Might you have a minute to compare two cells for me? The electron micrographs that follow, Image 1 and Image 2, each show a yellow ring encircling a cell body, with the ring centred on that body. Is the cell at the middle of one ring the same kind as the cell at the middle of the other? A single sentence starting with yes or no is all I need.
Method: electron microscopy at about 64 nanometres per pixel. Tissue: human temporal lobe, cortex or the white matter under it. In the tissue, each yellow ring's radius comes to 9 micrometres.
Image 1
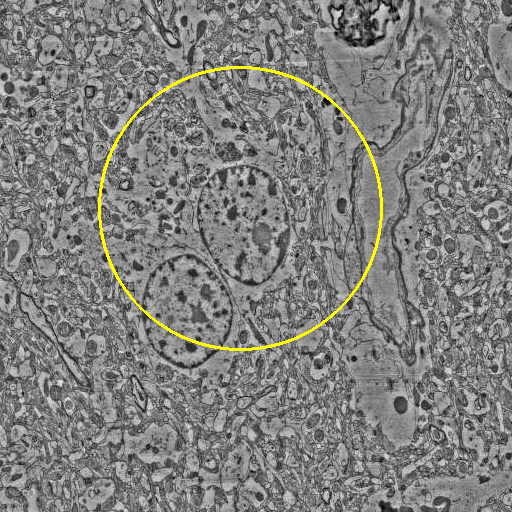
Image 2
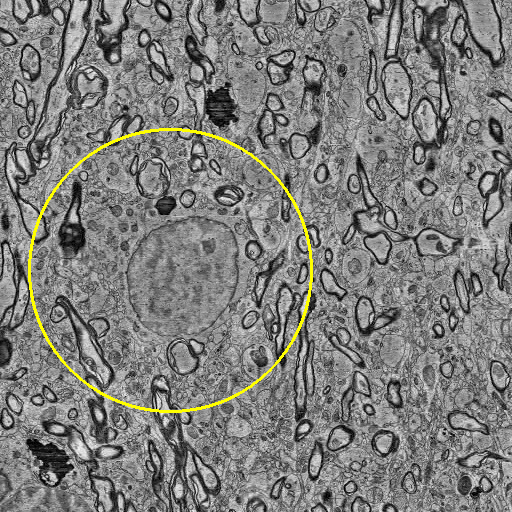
No, the cells in the middle of the two rings are of two separate kinds.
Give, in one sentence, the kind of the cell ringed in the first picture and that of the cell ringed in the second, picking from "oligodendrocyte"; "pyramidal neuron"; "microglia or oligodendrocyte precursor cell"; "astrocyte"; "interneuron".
For the first picture it is an astrocyte; for the second, an oligodendrocyte.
